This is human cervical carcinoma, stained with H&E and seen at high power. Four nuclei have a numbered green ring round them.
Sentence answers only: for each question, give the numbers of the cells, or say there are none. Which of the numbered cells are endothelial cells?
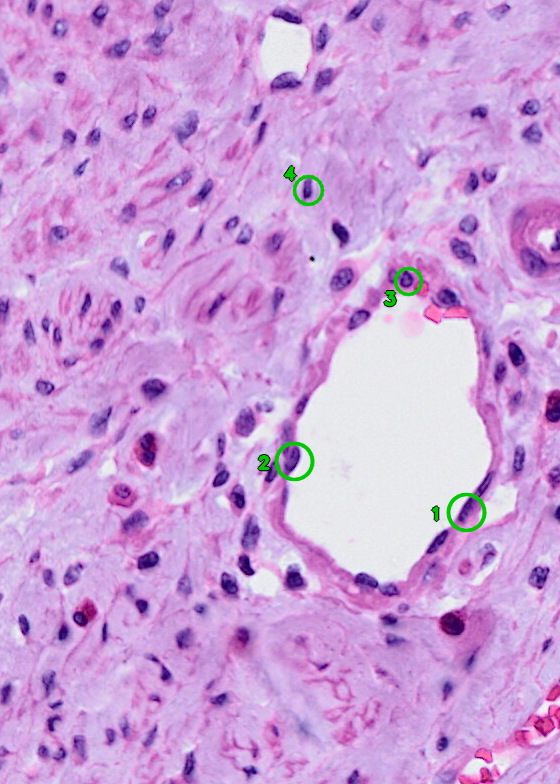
Regarding the numbered cells 1, 2 and 3, these are endothelial cells.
